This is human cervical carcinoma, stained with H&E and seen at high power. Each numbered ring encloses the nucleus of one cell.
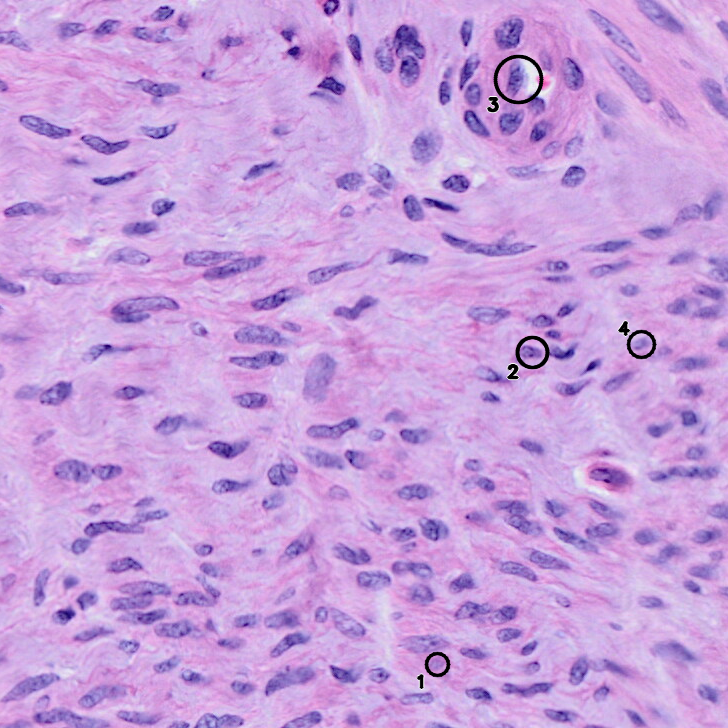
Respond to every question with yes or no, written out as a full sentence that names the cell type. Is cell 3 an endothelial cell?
Yes, the cell given number 3 is an endothelial cell.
